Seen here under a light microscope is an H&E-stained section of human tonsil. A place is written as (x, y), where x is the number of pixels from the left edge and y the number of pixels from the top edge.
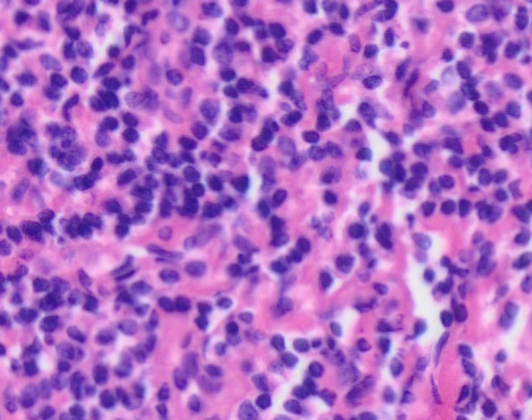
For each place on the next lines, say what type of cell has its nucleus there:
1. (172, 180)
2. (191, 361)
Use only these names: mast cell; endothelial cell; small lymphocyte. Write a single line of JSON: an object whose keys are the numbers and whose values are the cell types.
{"1": "small lymphocyte", "2": "endothelial cell"}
